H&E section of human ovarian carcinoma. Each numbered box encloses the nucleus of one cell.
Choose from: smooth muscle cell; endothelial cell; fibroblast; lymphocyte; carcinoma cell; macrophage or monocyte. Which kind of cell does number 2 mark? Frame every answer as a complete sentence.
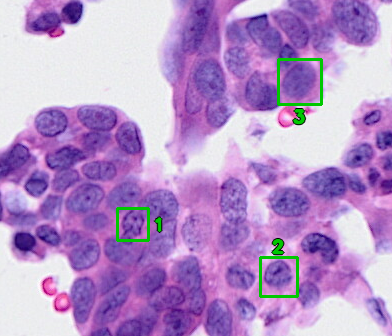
Cell number 2 in this section is a macrophage or monocyte.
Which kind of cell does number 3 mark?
Classified as a carcinoma cell is the cell with the number 3.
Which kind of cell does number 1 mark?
Numbered cell 1 is a macrophage or monocyte in this tissue section.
